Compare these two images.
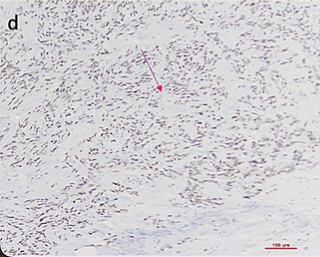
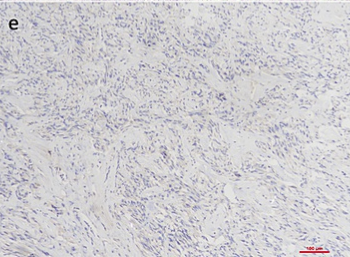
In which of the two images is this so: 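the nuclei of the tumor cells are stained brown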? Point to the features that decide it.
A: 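Second image: the nuclei are pale blue-grey with no brown colour. First image: many elongated nuclei throughout the field are brown.
Hence: the first image.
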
